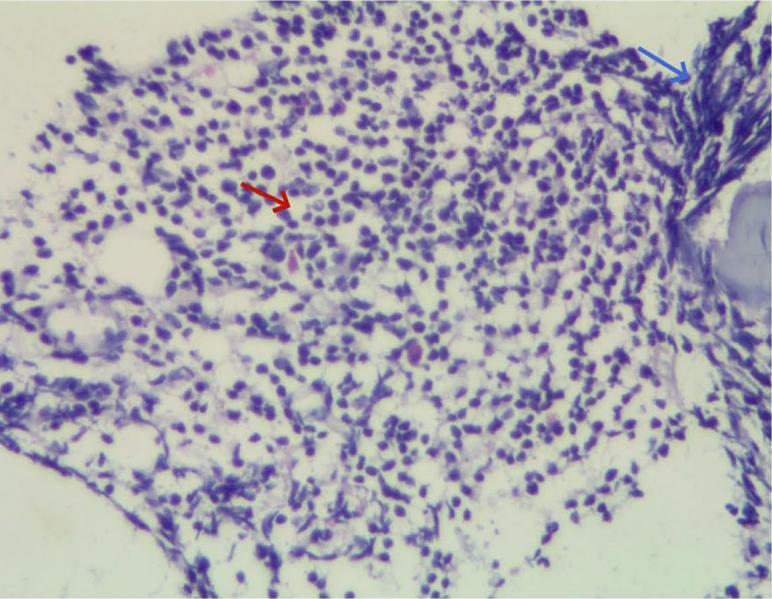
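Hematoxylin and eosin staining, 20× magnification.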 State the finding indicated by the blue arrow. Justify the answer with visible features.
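At the upper right edge, elongated spindle-shaped dark nuclei run in parallel streaming bundles. This band of streaming nuclei contrasts with the round nuclei of the hematopoietic cells elsewhere. So: bone marrow fibrosis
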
